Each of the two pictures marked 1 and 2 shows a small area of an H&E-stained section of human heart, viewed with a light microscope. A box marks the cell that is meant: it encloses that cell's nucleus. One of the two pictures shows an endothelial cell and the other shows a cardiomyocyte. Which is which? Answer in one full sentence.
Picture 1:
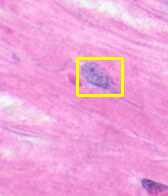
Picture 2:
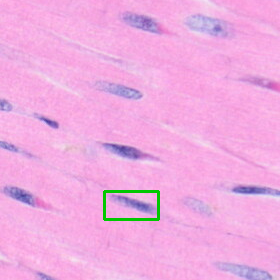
The cell in picture 1 is a cardiomyocyte, and the one in picture 2 is an endothelial cell.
